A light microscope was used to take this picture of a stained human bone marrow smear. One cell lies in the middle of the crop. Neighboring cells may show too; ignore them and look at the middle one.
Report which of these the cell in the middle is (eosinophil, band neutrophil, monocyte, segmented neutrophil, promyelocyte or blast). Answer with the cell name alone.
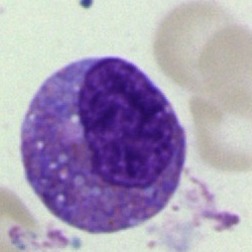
eosinophil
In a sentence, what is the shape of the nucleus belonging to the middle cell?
In this cell the nucleus is a solitary compact mass, round, oval or kidney-shaped.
